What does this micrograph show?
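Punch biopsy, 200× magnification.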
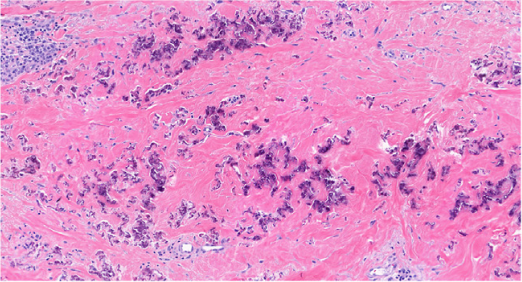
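Dermis with pink collagen bundles among which lie scattered irregular clumps of short, fragmented, dark purple fibres. The fragments are curled, granular and broken rather than long and wavy, gathered into loose aggregates of varied size across the field. Small fibroblast nuclei are sparse between the collagen bundles; a few small round inflammatory cell nuclei gather at the left edge. The purple clumped material is consistent with calcified elastic fibres.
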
